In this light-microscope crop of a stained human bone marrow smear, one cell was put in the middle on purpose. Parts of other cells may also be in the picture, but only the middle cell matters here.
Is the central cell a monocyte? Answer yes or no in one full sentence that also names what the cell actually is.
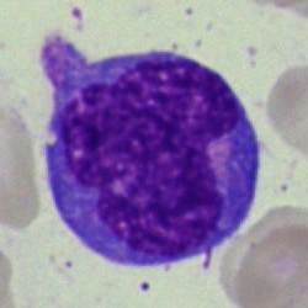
Yes, as regards the cell in the middle, it is a monocyte.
